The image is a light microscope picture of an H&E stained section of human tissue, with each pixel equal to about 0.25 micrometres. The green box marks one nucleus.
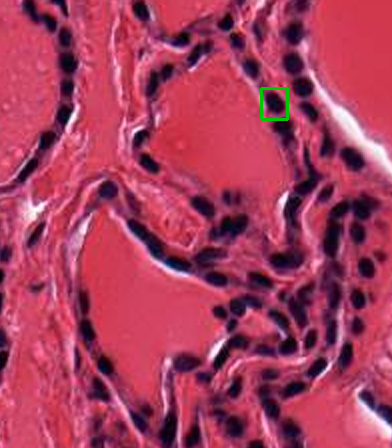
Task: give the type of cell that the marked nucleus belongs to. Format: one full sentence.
The marked nucleus is the nucleus of a thyroid follicular cell.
